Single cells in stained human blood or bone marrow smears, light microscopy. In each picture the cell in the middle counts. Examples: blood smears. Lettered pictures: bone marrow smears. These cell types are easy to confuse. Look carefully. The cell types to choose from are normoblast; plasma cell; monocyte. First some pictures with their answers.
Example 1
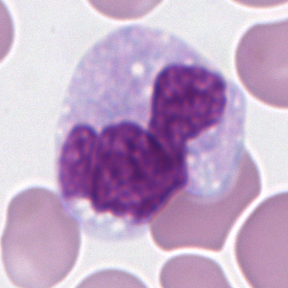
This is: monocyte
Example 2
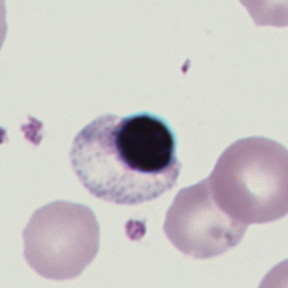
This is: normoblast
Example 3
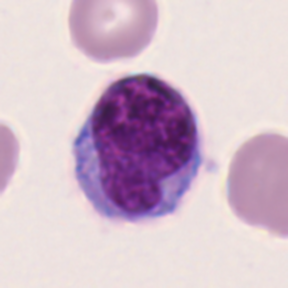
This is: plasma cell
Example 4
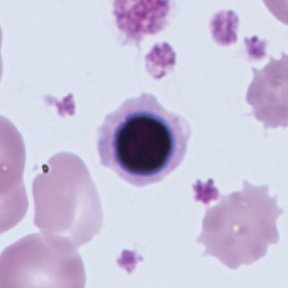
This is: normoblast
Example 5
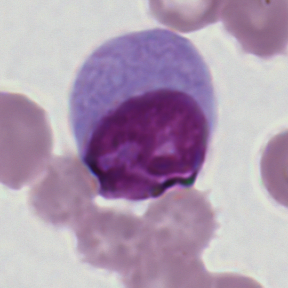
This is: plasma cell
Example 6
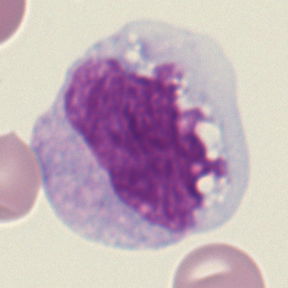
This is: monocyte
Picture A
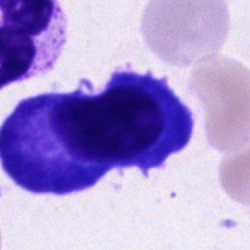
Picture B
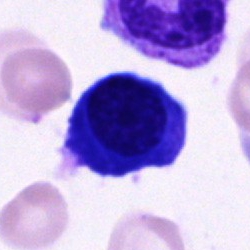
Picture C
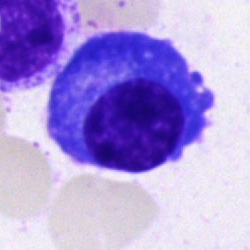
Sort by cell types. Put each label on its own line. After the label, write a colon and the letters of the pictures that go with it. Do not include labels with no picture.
plasma cell: A, B, C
